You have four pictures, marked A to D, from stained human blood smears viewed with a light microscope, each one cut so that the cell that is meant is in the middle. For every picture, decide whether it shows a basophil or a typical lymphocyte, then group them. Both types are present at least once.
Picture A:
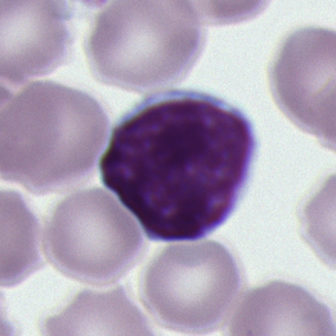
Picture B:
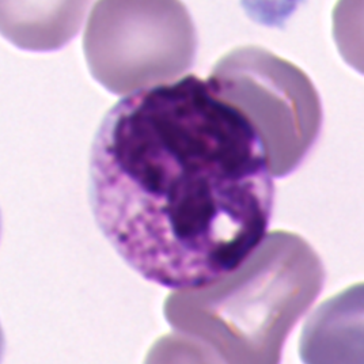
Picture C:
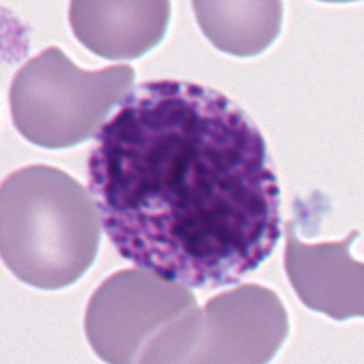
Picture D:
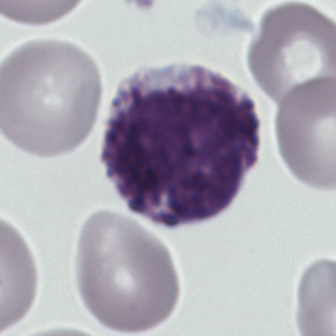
A: typical lymphocyte
B: basophil
C: basophil
D: basophil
